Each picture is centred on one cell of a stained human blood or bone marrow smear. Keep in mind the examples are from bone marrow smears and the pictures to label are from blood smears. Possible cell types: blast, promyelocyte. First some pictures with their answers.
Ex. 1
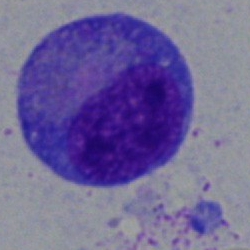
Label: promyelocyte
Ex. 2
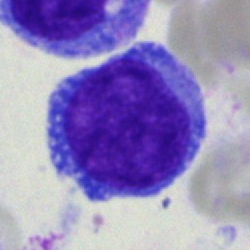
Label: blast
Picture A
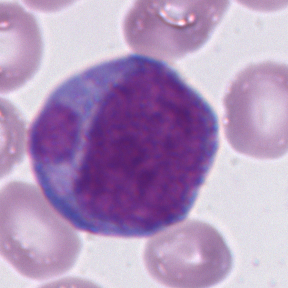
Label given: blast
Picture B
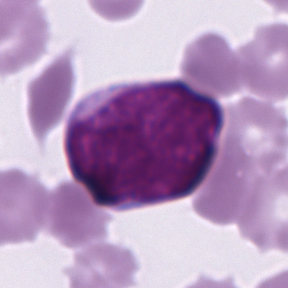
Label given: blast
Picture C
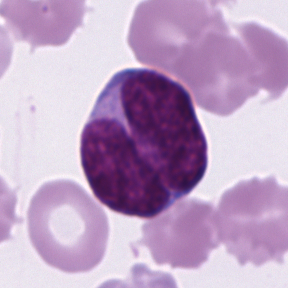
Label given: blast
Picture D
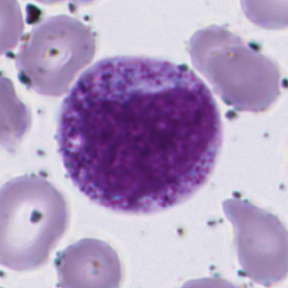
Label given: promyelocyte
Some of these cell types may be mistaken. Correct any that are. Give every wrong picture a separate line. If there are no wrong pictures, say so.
A: not blast but promyelocyte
